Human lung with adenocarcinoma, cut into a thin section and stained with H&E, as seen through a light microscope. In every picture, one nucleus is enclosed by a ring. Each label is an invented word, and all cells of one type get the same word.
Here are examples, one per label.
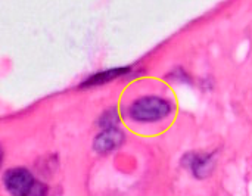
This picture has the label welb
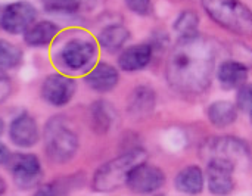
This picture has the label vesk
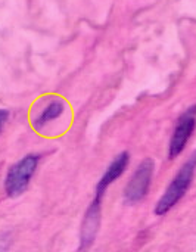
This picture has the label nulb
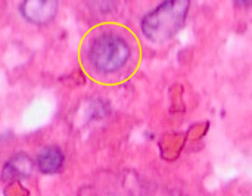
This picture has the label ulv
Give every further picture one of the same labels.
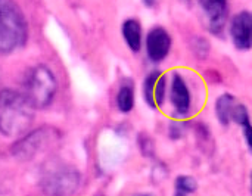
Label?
vesk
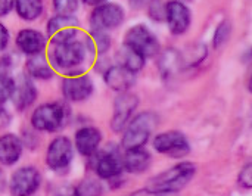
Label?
vesk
